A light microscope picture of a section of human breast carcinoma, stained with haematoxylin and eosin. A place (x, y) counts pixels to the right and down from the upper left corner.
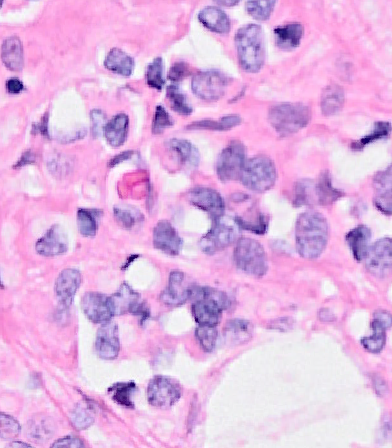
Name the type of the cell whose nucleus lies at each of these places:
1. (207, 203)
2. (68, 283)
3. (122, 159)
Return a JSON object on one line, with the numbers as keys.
{"1": "carcinoma cell", "2": "carcinoma cell", "3": "endothelial cell"}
